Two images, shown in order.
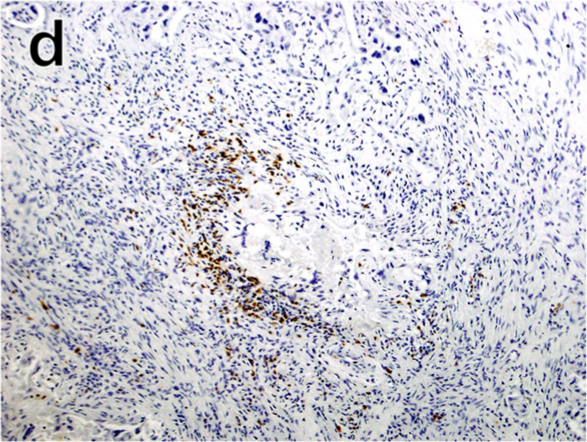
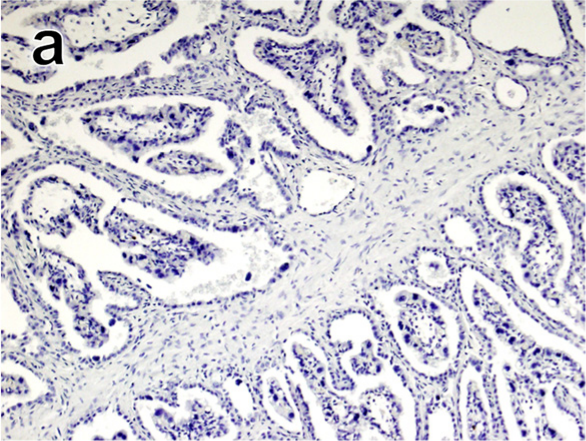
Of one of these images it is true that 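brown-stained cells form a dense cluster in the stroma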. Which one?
The first image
